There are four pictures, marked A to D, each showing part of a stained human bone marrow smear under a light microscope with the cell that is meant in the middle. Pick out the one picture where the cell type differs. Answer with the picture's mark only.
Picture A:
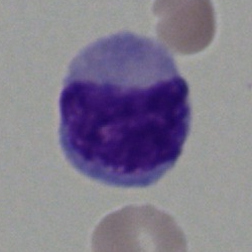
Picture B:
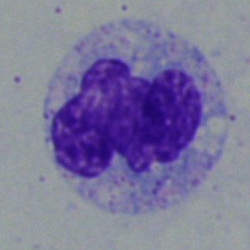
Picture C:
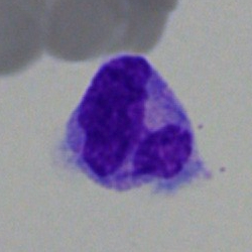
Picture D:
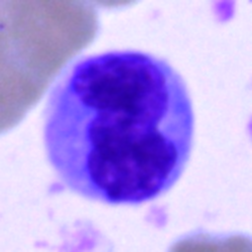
A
